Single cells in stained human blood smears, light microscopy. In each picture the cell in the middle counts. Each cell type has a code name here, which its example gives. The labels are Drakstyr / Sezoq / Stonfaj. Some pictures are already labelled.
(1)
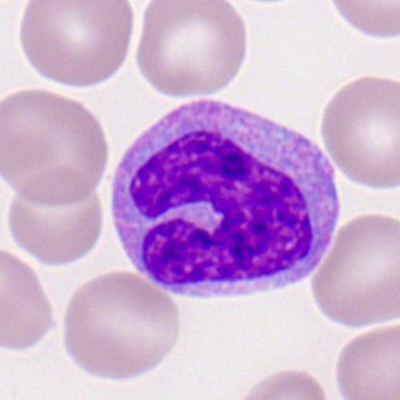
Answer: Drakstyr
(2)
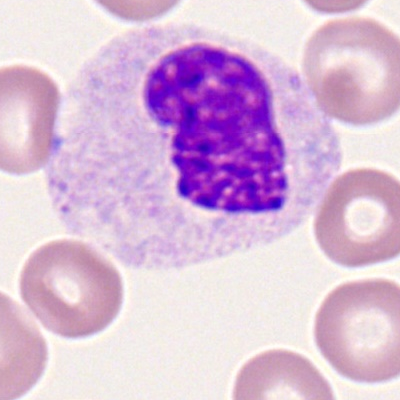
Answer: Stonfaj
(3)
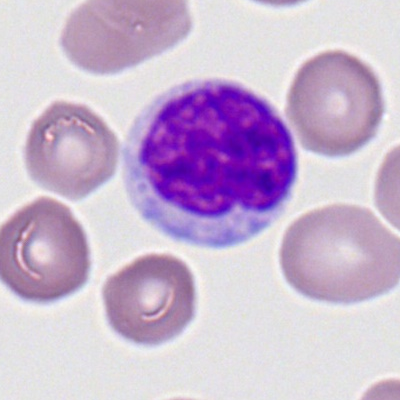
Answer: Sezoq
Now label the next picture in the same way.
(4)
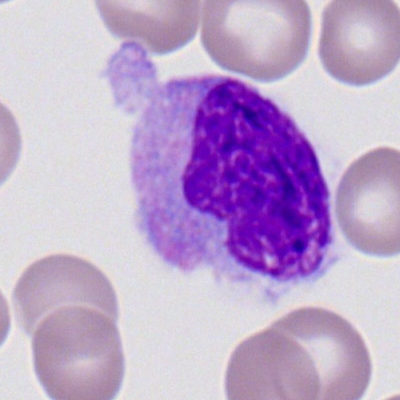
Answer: Drakstyr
